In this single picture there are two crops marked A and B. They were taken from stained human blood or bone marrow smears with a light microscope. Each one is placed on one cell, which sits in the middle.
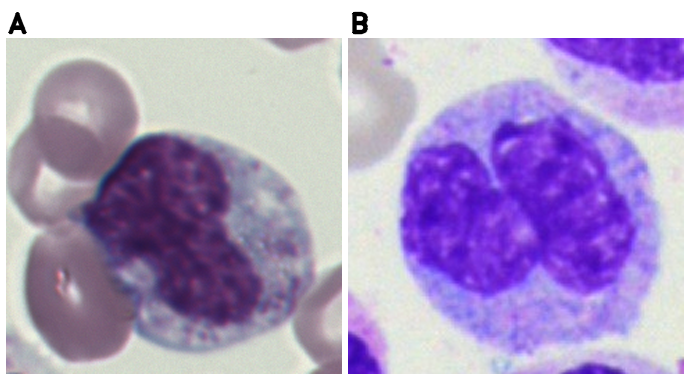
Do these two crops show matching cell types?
yes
